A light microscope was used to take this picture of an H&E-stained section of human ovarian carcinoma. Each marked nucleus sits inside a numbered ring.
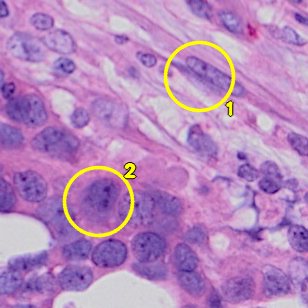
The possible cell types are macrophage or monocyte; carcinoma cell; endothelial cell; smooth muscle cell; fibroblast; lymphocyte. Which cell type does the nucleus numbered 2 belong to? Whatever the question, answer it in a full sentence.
It is as a carcinoma cell that the cell numbered 2 is identified.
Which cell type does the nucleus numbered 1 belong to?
The nucleus labeled 1 belongs to a fibroblast.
